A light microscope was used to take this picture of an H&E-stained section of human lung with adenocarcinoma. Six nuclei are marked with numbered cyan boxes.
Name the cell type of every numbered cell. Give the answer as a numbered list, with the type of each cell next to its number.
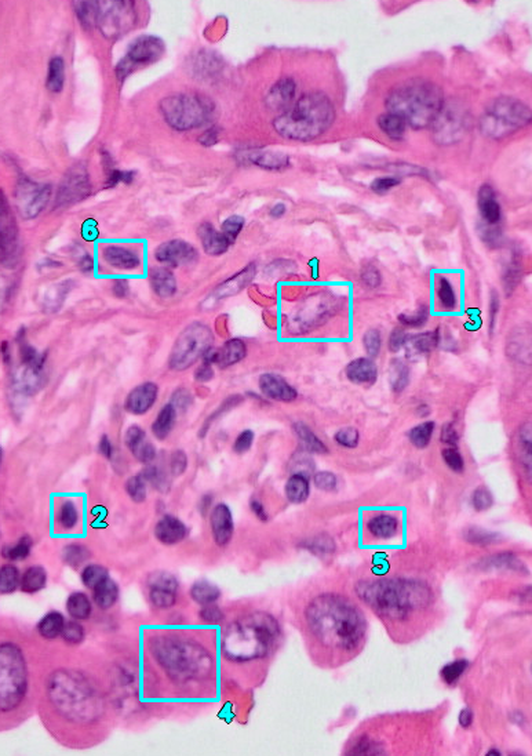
1. endothelial cell
2. lymphocyte
3. plasma cell
4. carcinoma cell
5. lymphocyte
6. lymphocyte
